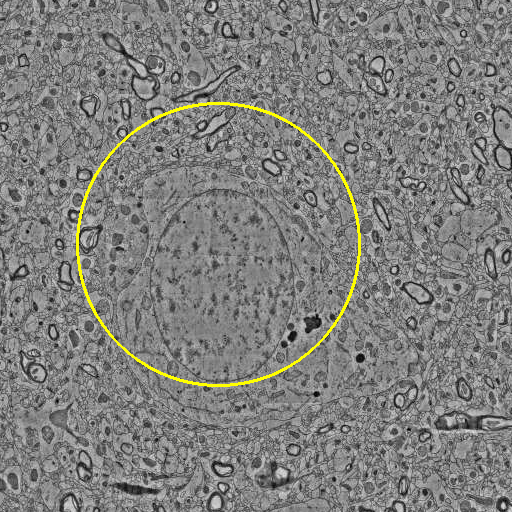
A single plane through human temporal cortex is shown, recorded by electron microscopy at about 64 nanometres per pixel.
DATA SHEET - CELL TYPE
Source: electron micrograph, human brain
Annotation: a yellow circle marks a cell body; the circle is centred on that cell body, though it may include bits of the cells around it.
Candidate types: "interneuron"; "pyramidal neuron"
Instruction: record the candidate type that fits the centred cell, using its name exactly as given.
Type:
pyramidal neuron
